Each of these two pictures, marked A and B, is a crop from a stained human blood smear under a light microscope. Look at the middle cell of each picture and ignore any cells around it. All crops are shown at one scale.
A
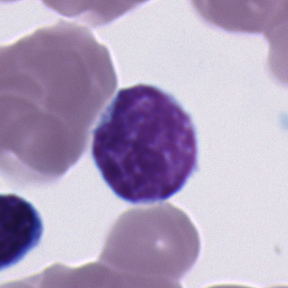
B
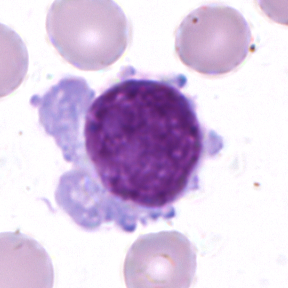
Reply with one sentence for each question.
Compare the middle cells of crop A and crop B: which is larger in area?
Crop B holds the larger cell; it covers about 2 times the area of the cell in crop A.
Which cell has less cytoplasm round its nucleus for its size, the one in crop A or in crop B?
It is the cell in crop A that is filled more by its nucleus.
